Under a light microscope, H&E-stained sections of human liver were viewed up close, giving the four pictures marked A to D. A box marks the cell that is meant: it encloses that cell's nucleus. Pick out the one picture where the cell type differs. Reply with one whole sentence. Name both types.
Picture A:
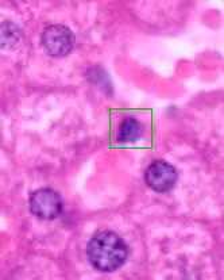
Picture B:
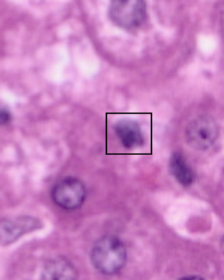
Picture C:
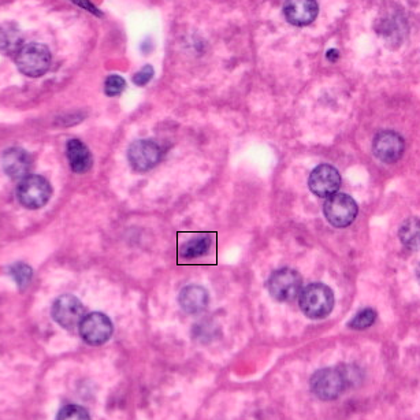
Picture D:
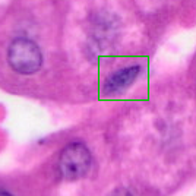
Unlike the rest, which show “fibroblasts or stellate cells”, picture B shows an endothelial cell.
